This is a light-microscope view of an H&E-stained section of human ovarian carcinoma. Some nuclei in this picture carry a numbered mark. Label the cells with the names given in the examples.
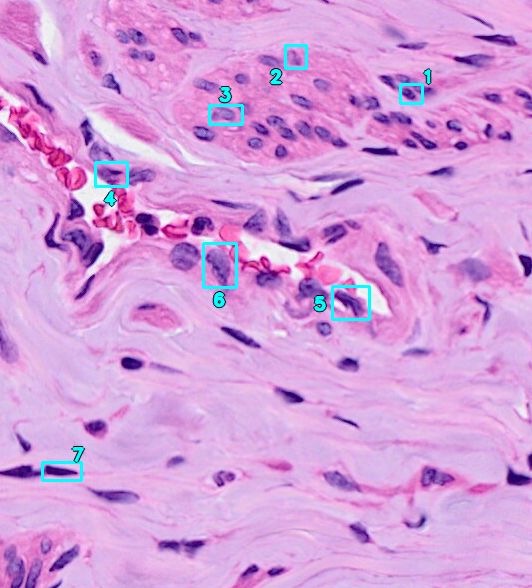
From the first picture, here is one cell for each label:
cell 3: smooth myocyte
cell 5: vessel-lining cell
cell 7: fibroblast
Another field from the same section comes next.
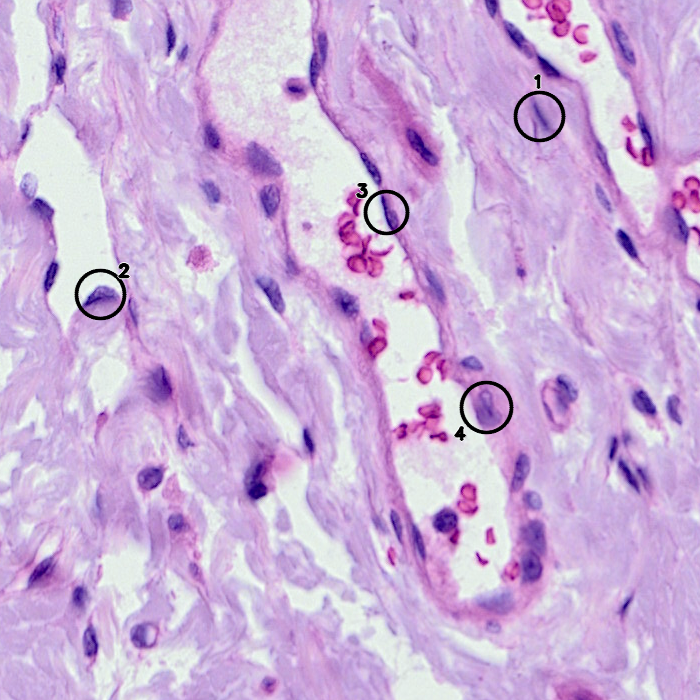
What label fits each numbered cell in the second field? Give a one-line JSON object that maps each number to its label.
{"1": "fibroblast", "2": "vessel-lining cell", "3": "vessel-lining cell", "4": "vessel-lining cell"}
